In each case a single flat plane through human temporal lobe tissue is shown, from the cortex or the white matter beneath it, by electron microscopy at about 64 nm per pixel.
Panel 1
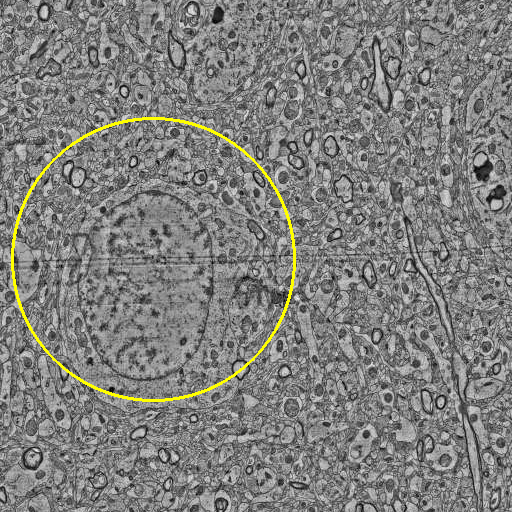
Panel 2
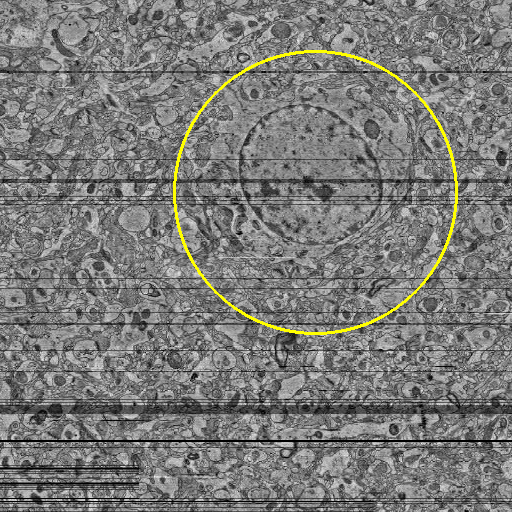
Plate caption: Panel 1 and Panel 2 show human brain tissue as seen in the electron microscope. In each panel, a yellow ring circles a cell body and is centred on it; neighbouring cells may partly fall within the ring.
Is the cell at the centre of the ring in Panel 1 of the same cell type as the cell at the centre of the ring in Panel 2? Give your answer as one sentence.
No, the two cells are of two types.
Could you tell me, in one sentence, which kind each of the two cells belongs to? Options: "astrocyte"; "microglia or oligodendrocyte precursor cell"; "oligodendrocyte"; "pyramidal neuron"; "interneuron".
At the centre of the first ring sits an interneuron, and at the centre of the second sits an astrocyte.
